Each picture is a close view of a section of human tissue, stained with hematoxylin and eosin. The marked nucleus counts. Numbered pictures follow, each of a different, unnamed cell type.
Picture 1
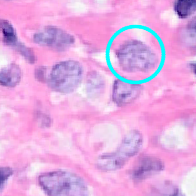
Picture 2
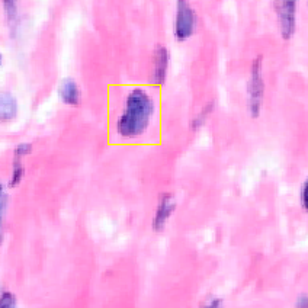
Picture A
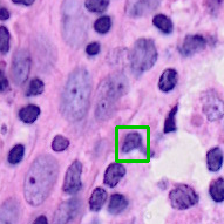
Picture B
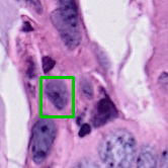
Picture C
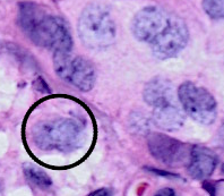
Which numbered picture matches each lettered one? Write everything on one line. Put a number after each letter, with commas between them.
A 2, B 1, C 1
